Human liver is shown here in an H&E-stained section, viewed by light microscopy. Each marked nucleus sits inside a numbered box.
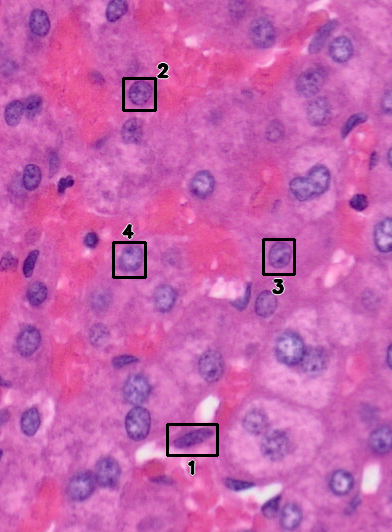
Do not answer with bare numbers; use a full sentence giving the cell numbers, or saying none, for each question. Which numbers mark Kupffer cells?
The numbered cells include exactly one that is a Kupffer cell, which is cell 1.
